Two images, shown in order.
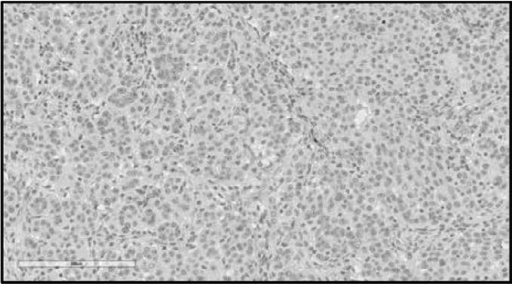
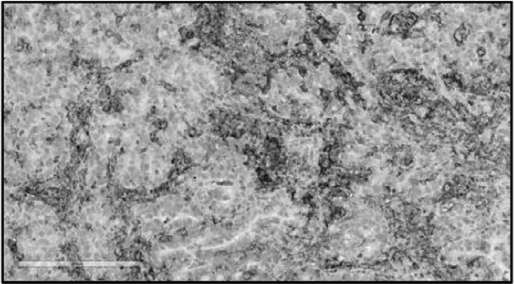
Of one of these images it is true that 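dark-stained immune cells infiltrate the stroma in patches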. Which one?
The second image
